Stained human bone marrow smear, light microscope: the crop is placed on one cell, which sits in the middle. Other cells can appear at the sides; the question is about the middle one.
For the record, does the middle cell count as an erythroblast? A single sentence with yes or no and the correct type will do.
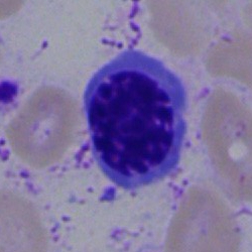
Yes, an erythroblast is present in the middle of the crop.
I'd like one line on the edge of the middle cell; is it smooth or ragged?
No projections interrupt the outline; it is smooth all the way round.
